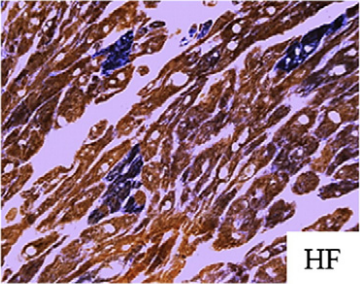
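Cardiac muscle cut obliquely, with elongated to irregular cardiac myocytes mostly stained orange-brown. Several myocytes, scattered singly or in small groups, stain blue or mixed blue-brown. Many myocytes show pale vacuole-like areas in the cytoplasm. Wide pale spaces separate the fibre bundles.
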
